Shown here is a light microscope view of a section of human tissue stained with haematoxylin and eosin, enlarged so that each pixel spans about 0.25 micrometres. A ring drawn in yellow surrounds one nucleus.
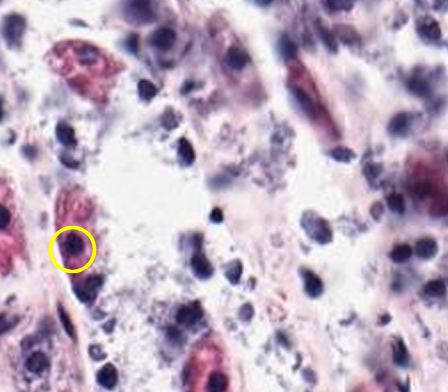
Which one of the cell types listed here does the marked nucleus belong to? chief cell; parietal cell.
parietal cell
